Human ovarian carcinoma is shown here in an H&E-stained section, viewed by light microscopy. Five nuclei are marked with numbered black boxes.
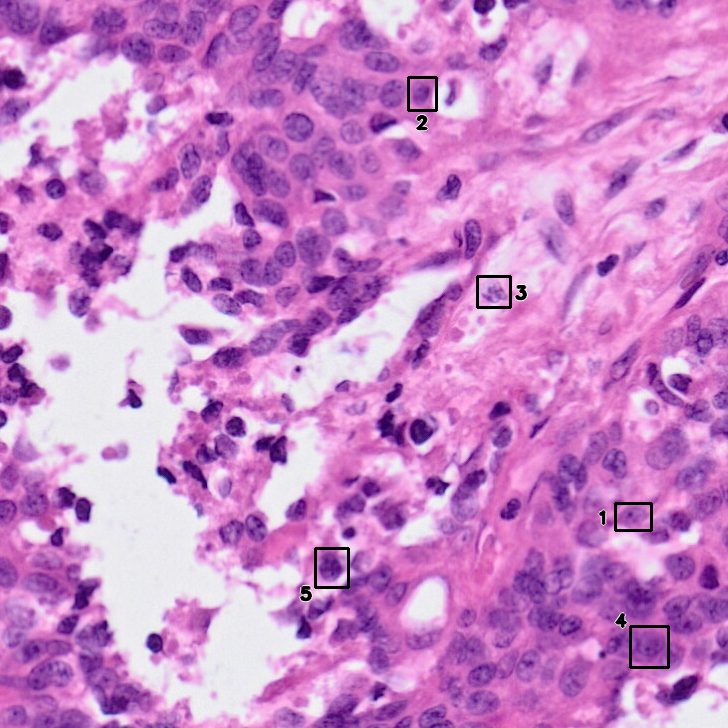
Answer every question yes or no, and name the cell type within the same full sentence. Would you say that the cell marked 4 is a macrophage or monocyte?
No, a macrophage or monocyte is not what cell 4 is; it is a carcinoma cell.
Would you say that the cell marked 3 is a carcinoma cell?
No, the cell denoted 3 is a macrophage or monocyte rather than a carcinoma cell.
